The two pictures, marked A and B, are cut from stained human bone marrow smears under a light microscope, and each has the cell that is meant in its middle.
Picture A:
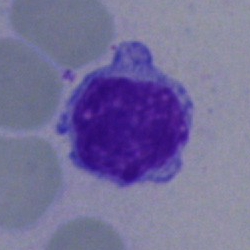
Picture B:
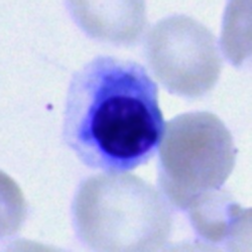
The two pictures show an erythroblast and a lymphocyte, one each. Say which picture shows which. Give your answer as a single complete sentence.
Picture A shows a lymphocyte and picture B shows an erythroblast.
